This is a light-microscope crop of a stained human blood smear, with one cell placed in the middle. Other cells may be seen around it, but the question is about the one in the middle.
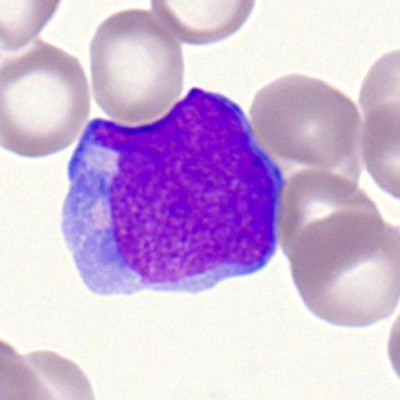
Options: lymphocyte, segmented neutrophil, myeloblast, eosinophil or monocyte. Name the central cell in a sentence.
Here the centrally located cell is a myeloblast.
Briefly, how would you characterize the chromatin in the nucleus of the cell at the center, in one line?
Answer: the chromatin is fine and has no coarse clumps.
